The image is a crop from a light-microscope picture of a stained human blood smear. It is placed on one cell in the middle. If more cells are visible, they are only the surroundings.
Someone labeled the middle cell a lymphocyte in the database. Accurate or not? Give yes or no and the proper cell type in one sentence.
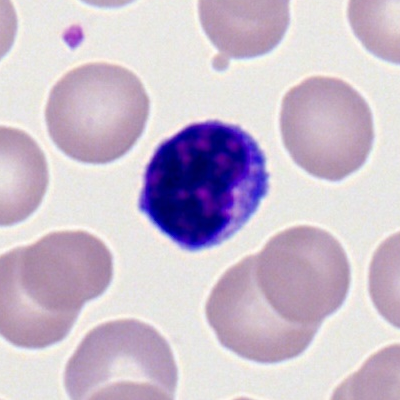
Yes, the cell sitting in the center is a lymphocyte.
